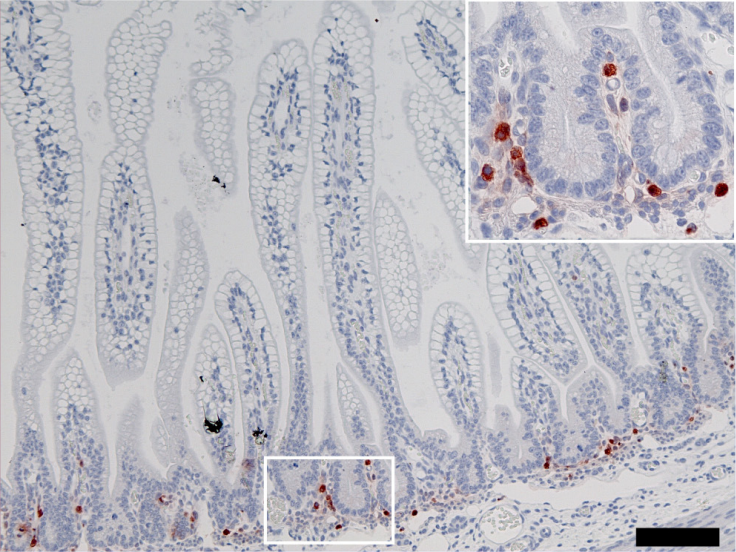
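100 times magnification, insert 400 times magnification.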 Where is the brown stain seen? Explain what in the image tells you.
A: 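Brown-stained cells sit mostly in a band at the base of the mucosa among the crypts. The villi above are almost free of brown-stained cells. The inset shows scattered brown cells between crypt epithelium at the base.
Answer: lower crypt region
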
